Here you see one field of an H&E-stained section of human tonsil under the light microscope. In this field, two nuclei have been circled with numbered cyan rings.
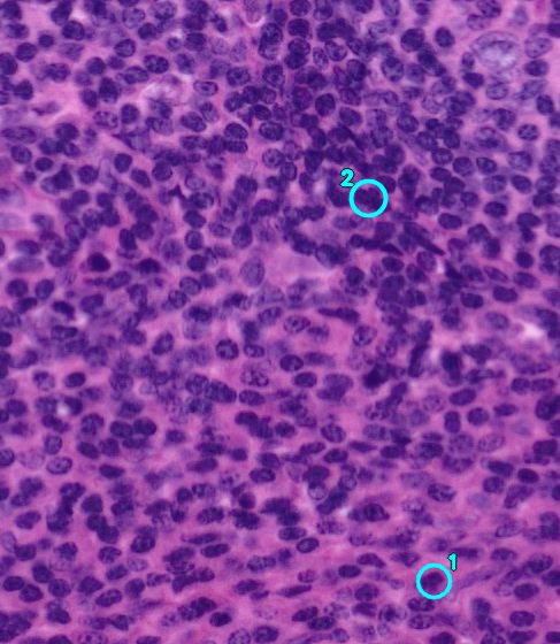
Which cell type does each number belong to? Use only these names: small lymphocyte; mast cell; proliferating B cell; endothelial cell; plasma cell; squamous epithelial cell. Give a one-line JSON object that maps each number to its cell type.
{"1": "plasma cell", "2": "small lymphocyte"}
